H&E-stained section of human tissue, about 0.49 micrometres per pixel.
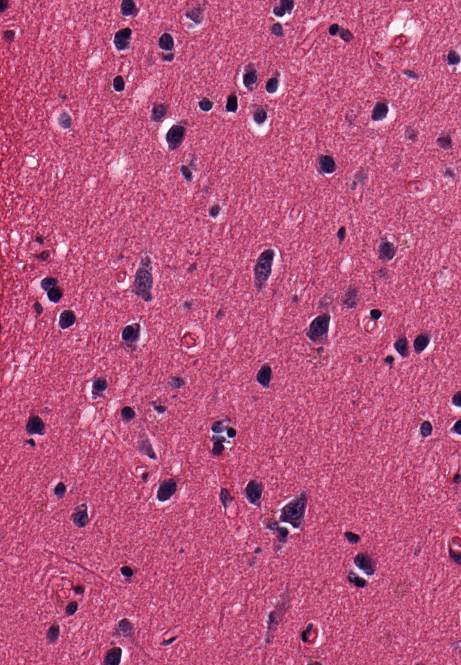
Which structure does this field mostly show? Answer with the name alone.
cerebral cortex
